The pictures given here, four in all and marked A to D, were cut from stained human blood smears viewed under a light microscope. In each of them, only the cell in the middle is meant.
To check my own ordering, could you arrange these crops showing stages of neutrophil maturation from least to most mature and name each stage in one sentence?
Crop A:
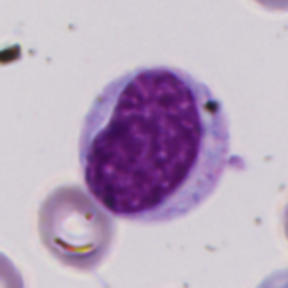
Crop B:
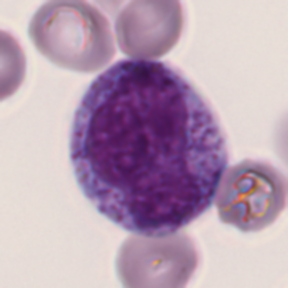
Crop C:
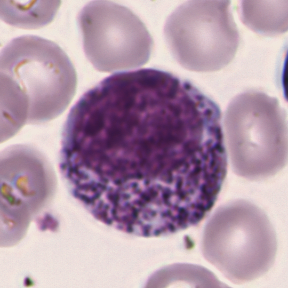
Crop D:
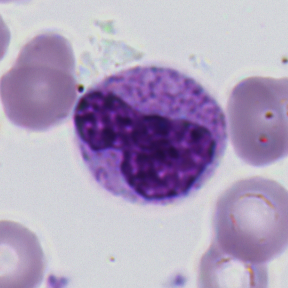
In rising order of maturity, the crops are crop B (a promyelocyte), crop C (a myelocyte), crop A (a metamyelocyte) and crop D (a band neutrophil).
